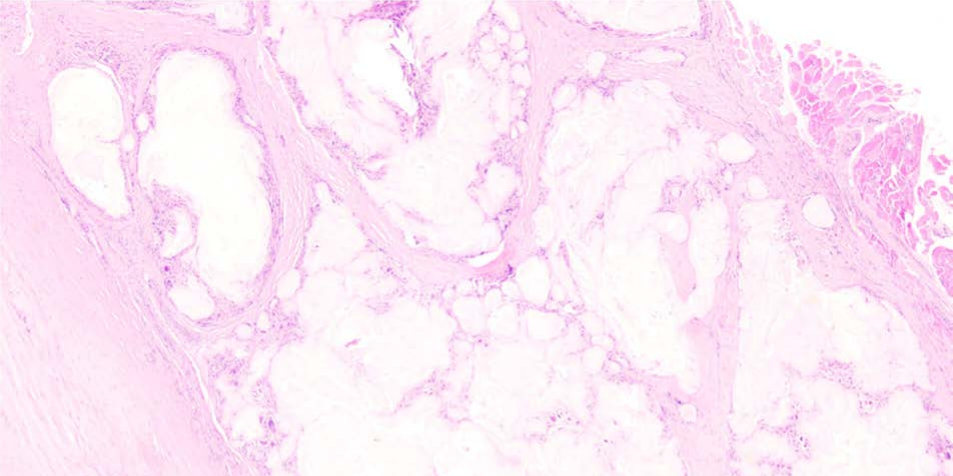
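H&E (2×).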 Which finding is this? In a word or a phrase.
Multiple nodule foreign body granulomas.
